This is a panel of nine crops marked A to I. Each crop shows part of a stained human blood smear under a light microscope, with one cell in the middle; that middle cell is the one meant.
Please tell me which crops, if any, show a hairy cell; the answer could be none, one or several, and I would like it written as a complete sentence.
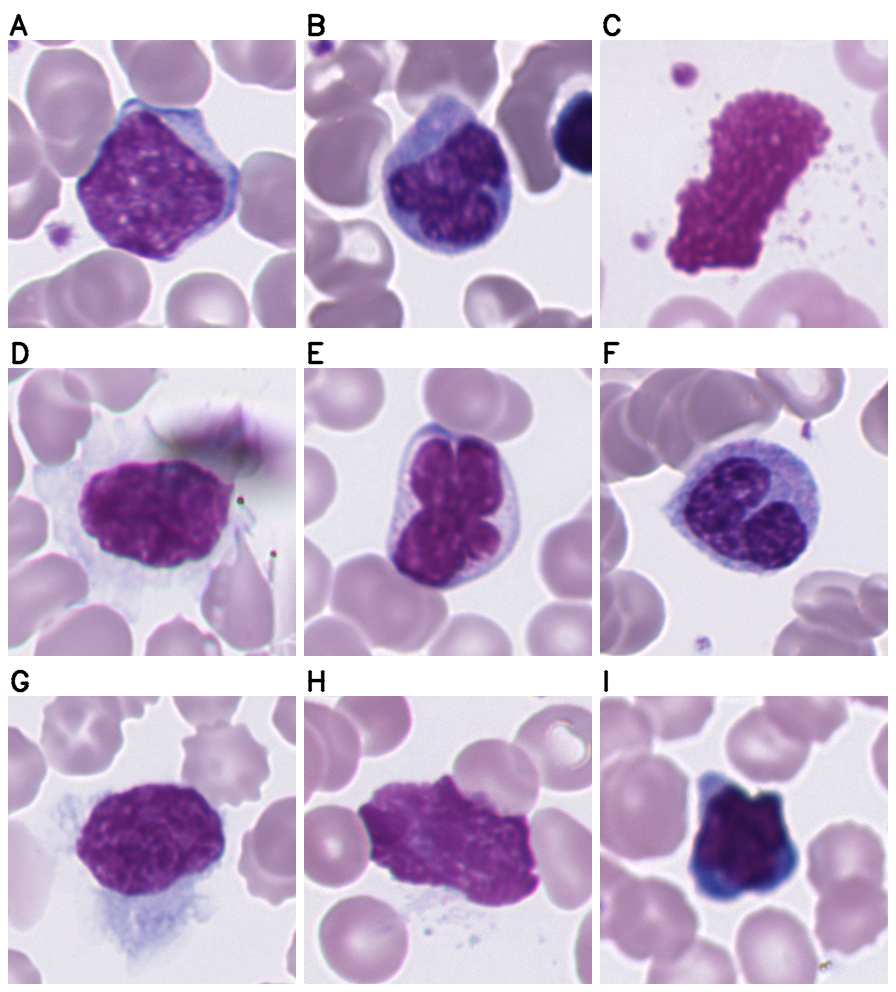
In the series, crops D and G show hairy cells.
